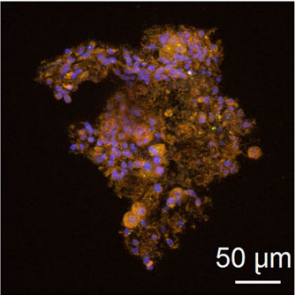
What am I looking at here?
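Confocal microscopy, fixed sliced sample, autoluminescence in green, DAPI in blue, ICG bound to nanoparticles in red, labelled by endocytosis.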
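Round to oval blue nuclei are scattered throughout the cluster. The cytoplasm around the nuclei shows overlapping green and red fluorescence that appears orange, brightest in several larger rounded bodies near the margins.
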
